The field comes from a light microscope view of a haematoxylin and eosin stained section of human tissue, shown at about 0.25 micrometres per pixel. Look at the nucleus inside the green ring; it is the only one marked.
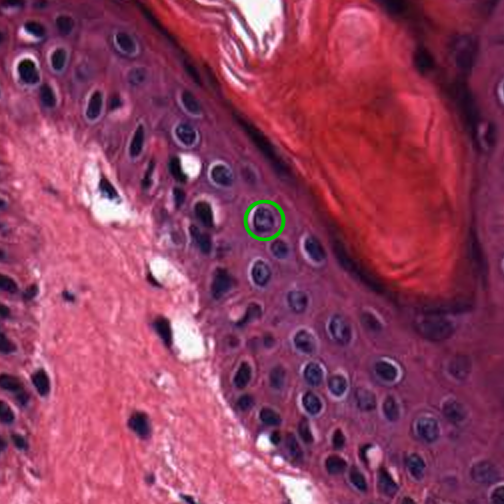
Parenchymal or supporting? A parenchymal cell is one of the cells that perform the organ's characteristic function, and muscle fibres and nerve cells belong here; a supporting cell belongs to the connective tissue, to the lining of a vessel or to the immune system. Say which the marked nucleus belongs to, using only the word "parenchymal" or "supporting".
parenchymal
